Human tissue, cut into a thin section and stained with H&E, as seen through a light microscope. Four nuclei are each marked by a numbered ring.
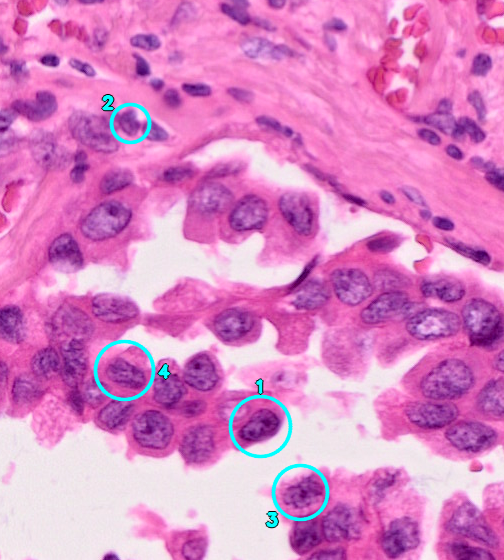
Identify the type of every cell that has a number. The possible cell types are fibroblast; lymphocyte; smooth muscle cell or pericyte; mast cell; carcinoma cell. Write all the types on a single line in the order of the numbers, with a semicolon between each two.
carcinoma cell; lymphocyte; carcinoma cell; carcinoma cell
